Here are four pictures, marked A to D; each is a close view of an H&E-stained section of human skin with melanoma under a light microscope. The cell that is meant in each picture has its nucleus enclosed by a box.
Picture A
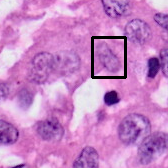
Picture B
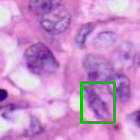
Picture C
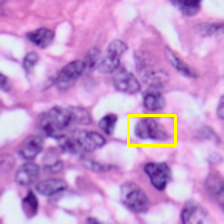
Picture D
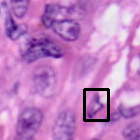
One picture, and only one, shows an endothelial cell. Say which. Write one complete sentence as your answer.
The endothelial cell is the one in picture D.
